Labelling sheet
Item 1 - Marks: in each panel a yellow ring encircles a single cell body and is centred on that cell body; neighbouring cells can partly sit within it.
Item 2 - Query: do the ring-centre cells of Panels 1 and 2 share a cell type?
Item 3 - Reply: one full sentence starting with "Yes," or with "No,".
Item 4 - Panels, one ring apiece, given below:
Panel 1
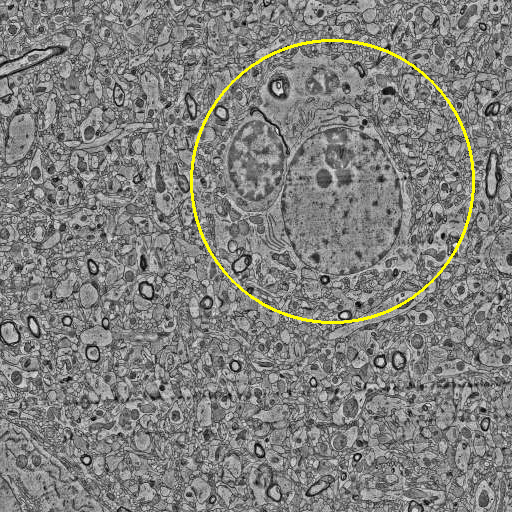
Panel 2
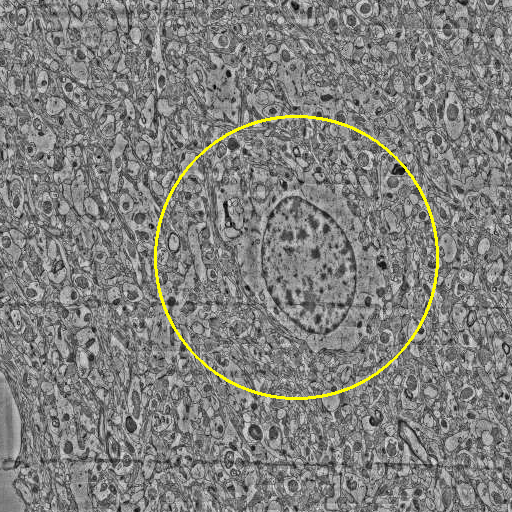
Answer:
Yes, Panel 1 and Panel 2 show one cell type at the centres of their rings.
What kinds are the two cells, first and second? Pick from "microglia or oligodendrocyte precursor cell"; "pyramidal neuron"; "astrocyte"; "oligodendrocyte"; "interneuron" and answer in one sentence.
Each of the two pictures has an astrocyte at the ring centre.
